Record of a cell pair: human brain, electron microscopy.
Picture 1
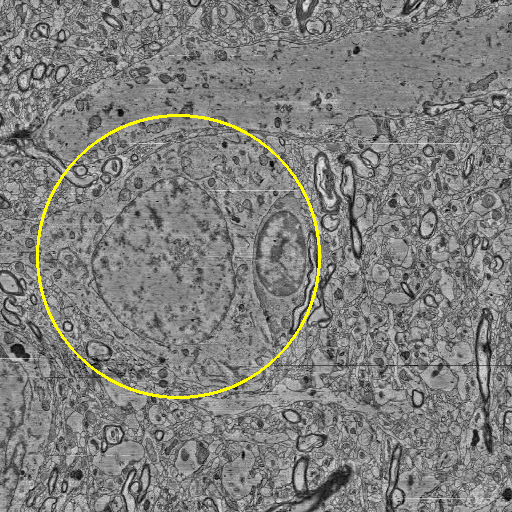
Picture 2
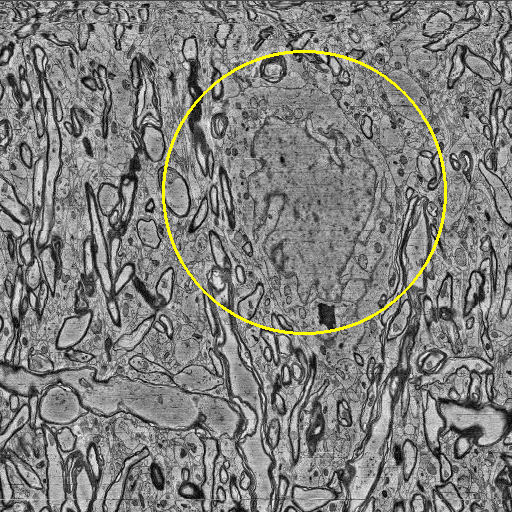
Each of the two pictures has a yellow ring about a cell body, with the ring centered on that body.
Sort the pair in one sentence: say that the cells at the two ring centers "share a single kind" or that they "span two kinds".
The cells centered in the rings of Pictures 1 and 2 share a single kind.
